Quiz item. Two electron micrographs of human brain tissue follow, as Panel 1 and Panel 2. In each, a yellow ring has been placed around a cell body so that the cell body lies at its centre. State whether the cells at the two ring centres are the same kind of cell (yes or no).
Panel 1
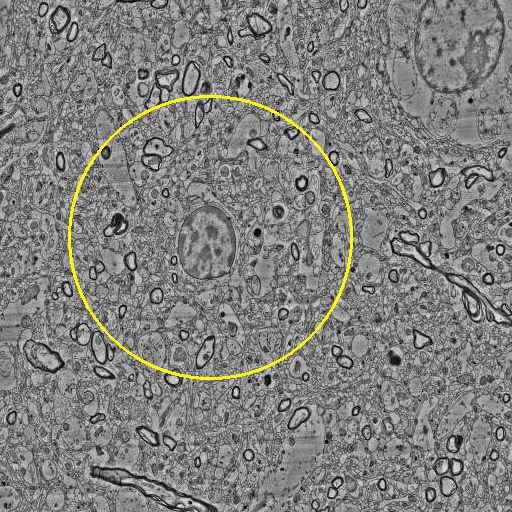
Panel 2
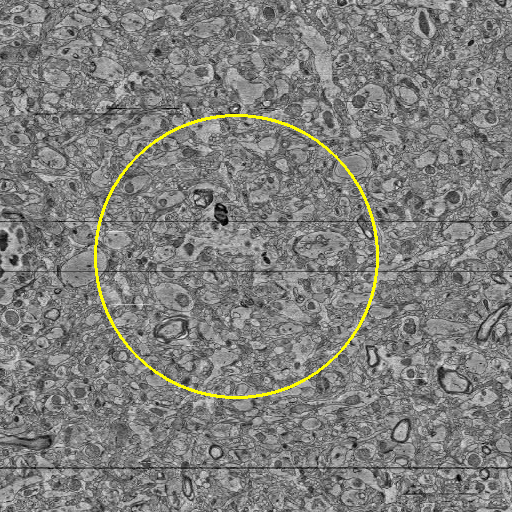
yes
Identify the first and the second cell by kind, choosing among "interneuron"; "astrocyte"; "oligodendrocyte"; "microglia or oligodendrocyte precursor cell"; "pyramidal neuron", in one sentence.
Both rings mark a microglial cell or oligodendrocyte precursor cell, one in each picture.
